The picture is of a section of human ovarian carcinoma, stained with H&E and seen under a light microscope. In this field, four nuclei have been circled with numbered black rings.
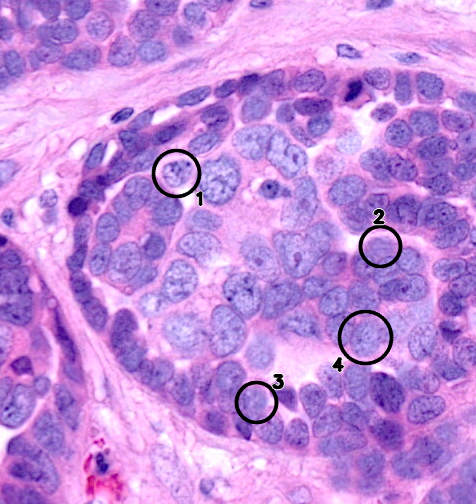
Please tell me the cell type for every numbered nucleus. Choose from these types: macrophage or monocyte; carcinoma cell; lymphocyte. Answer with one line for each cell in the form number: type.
1: macrophage or monocyte
2: carcinoma cell
3: carcinoma cell
4: carcinoma cell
